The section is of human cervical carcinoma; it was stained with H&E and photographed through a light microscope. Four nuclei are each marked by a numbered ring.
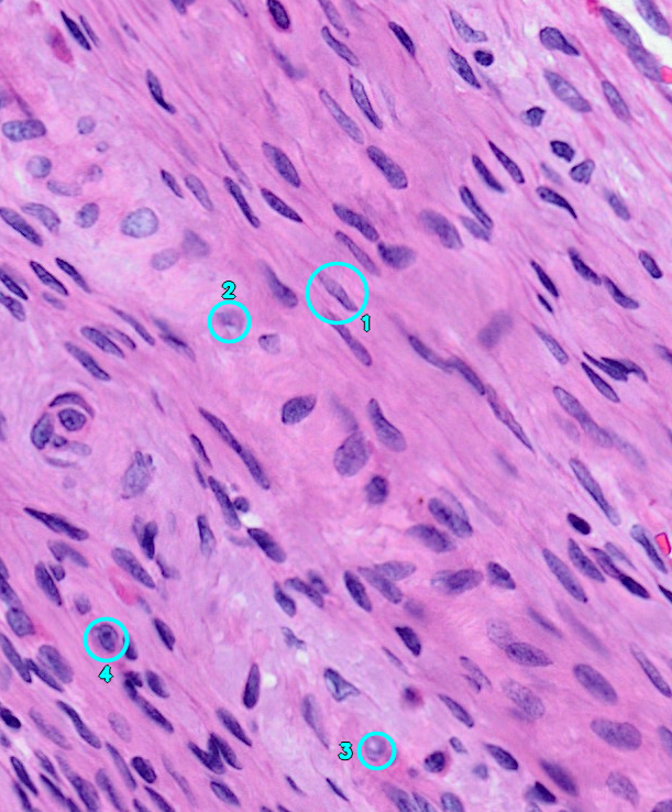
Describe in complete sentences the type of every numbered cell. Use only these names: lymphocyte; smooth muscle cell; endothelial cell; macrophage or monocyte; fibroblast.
Cells 1 and 2 are fibroblasts. Cell 3 is a smooth muscle cell. Cell 4 is an endothelial cell.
